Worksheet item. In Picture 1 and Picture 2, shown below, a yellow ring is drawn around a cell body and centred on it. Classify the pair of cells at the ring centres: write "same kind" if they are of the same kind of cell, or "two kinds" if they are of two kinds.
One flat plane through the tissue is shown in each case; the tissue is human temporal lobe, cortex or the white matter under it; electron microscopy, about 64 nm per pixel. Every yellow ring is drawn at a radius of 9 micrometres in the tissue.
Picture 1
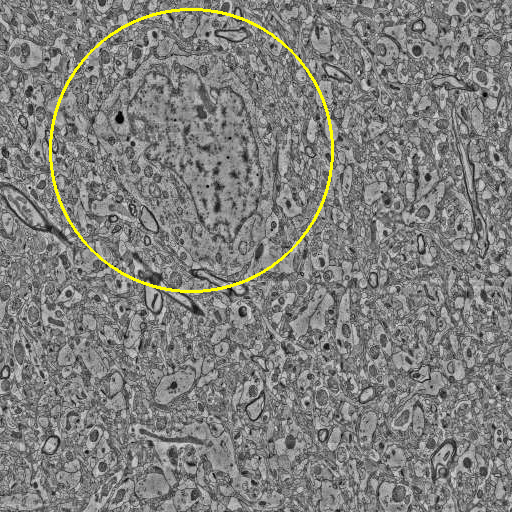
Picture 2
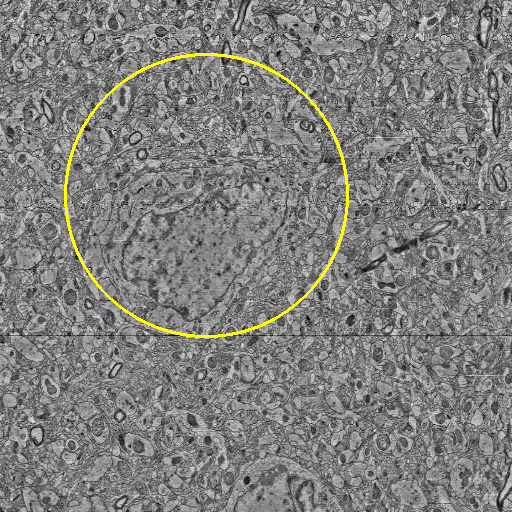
same kind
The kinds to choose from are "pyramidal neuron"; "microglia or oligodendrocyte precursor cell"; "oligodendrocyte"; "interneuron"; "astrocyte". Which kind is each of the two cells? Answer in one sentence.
Each of the ringed cells, first and second, is an interneuron.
